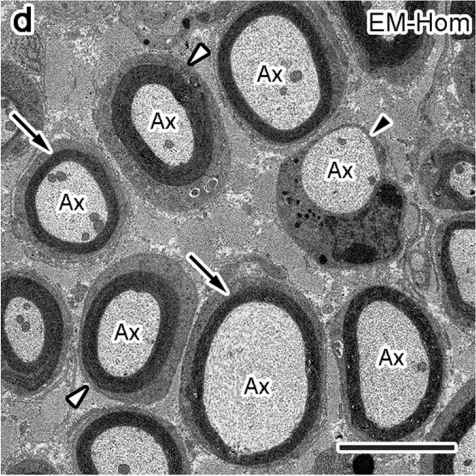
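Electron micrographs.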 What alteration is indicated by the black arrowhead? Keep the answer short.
Lacked compact myelin.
